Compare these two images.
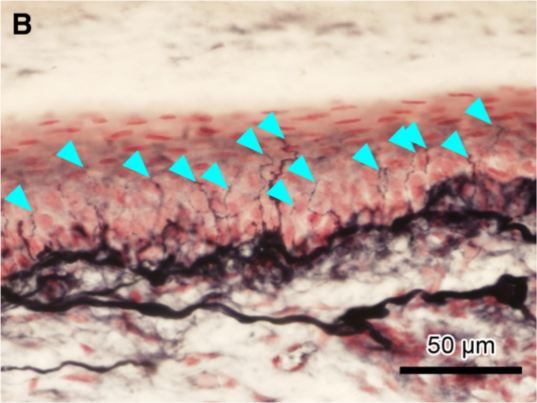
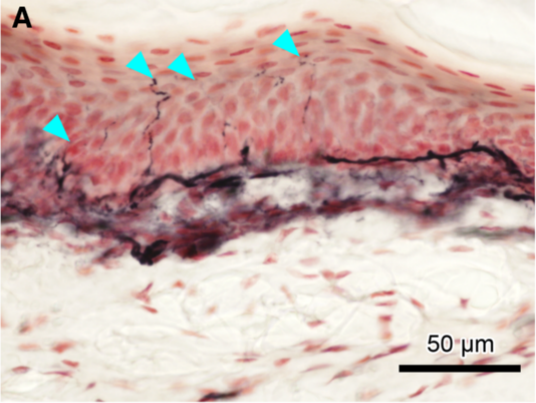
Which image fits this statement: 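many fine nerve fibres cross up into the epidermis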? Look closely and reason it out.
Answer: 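First image: numerous thin dark threads rise through the epidermis along its whole length. Second image: only a few thin dark threads rise into the epidermis.
Hence: the first image.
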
